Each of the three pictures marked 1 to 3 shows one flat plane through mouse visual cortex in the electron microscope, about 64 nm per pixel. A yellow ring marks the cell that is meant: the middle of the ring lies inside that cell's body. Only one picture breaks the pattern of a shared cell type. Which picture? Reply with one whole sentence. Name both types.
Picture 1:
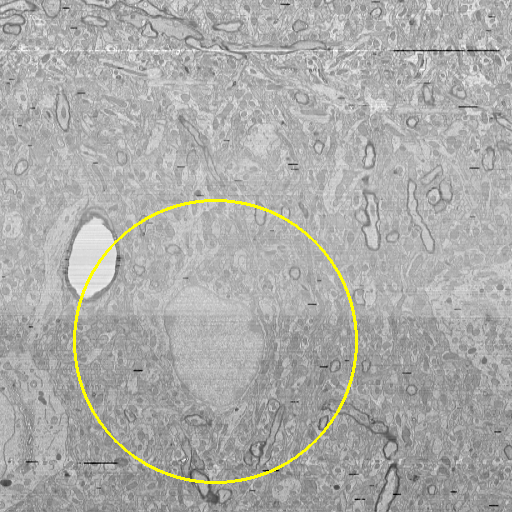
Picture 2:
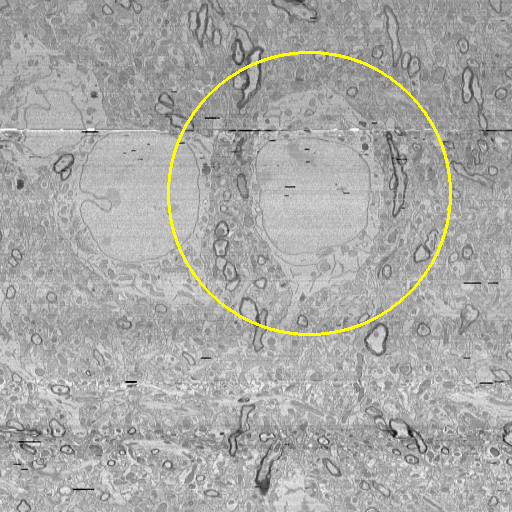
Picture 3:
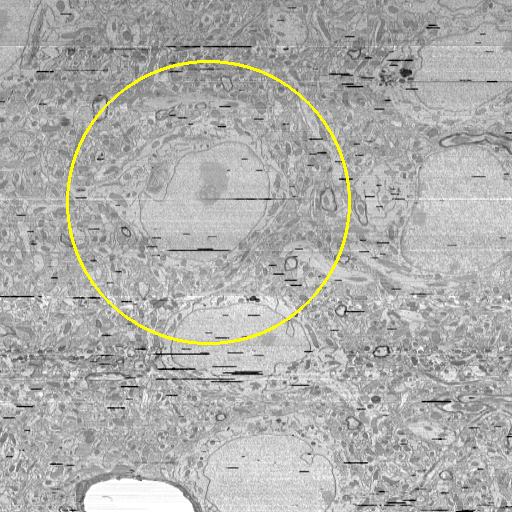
The others show excitatory neurons, but picture 1 shows an astrocyte.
